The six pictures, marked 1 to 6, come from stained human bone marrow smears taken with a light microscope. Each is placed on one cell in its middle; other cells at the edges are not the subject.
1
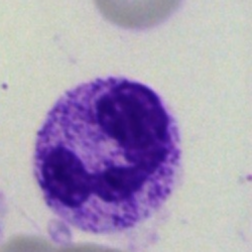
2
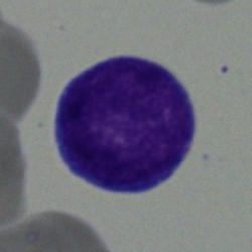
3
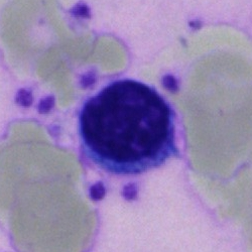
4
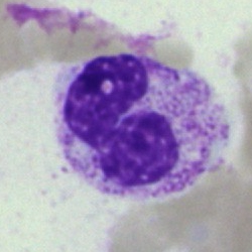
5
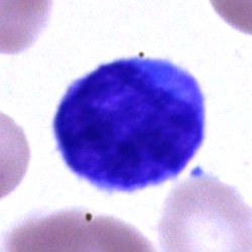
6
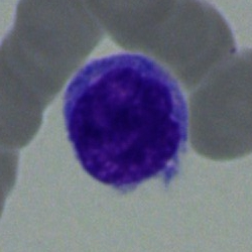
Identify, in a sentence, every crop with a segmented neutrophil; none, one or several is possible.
Crops 1 and 4, looked at one by one, show segmented neutrophils in the middle.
